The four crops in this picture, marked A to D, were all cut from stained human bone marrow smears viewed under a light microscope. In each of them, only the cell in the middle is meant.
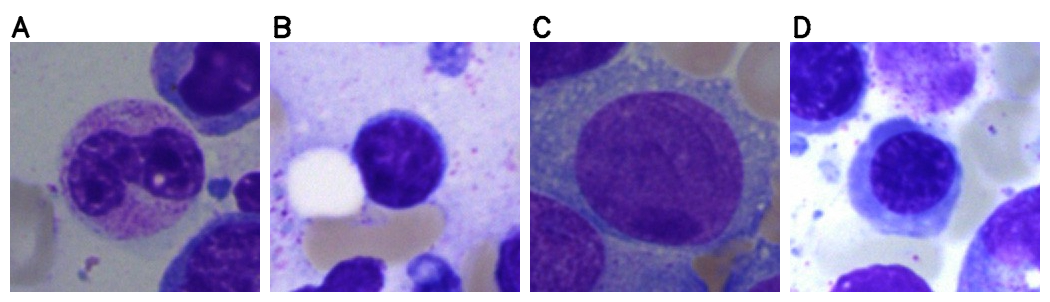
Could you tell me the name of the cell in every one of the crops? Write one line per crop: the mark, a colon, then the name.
A: band neutrophil
B: lymphocyte
C: blast
D: erythroblast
